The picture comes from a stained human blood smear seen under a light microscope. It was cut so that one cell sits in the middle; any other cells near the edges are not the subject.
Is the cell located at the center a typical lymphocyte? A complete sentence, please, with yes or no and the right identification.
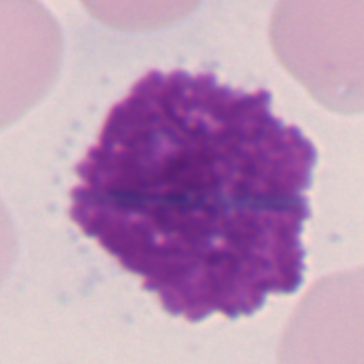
No, the cell in the centre is a smudge cell instead of a typical lymphocyte.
